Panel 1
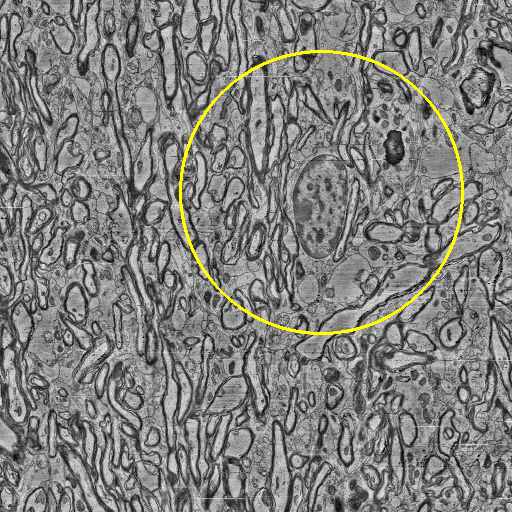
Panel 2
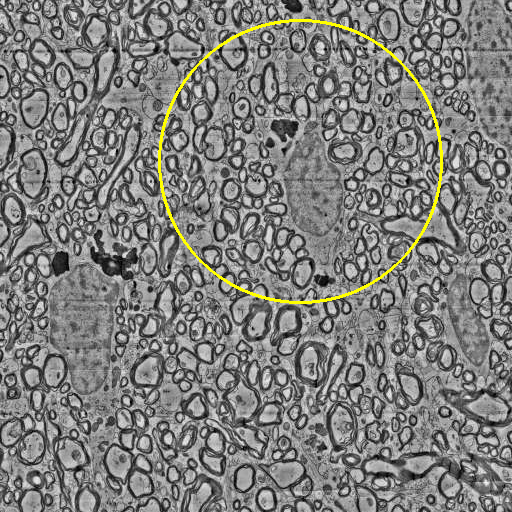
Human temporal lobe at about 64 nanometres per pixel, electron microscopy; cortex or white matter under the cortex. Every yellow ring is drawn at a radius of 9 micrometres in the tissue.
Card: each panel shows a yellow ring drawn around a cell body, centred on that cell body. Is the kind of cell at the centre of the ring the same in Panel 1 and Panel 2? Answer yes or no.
no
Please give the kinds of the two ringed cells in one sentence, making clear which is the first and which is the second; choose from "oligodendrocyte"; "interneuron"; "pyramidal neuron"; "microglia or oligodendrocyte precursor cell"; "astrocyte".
In the second picture the ringed cell is an oligodendrocyte; in the first it is a microglial cell or oligodendrocyte precursor cell.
